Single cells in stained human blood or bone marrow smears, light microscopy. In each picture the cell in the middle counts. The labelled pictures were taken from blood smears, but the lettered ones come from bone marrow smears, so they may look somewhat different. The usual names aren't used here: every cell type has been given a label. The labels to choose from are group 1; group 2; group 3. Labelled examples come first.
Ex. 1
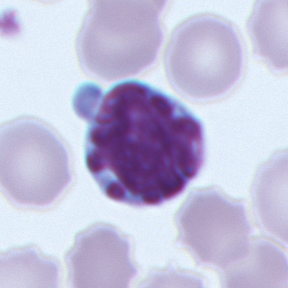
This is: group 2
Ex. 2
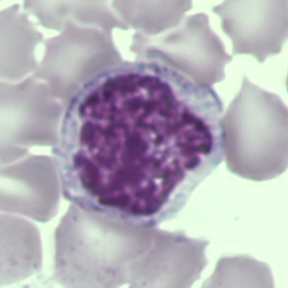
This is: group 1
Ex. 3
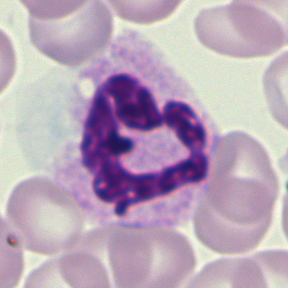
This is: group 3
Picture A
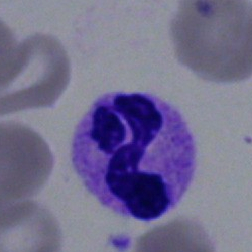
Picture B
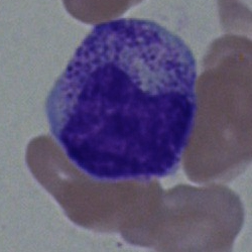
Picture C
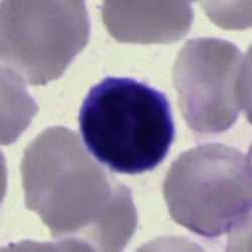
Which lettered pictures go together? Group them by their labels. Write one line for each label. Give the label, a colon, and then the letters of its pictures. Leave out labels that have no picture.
group 1: B
group 2: C
group 3: A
